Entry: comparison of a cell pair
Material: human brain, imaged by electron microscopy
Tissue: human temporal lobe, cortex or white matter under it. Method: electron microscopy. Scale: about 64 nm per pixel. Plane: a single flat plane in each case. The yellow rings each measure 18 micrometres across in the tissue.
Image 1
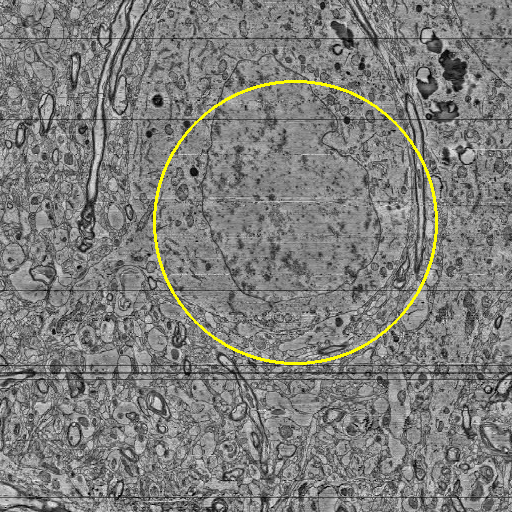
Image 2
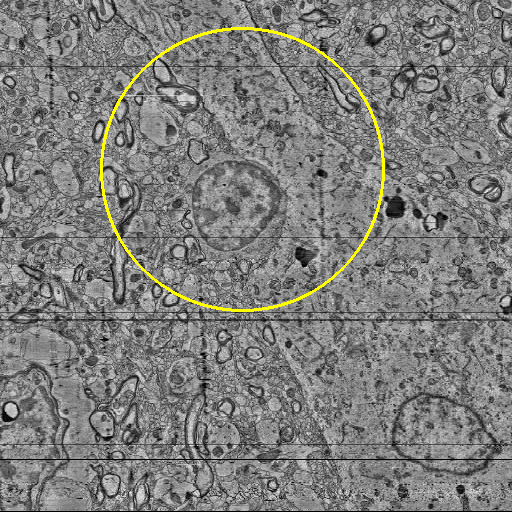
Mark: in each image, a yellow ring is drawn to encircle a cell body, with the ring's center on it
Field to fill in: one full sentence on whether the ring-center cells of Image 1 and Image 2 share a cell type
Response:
No, Image 1 and Image 2 show ring-center cells of two separate types.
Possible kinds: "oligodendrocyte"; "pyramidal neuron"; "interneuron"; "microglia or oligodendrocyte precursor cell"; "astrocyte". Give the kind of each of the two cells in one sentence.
The cell in the second picture is an oligodendrocyte, and that in the first is a pyramidal neuron.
